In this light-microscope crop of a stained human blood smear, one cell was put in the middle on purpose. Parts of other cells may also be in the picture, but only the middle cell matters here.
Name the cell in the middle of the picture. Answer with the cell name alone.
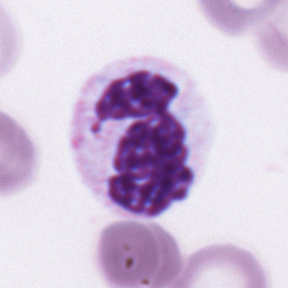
neutrophil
